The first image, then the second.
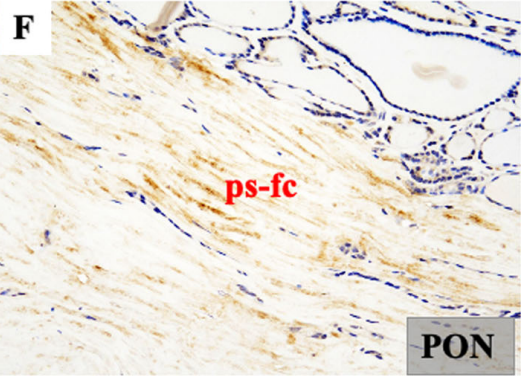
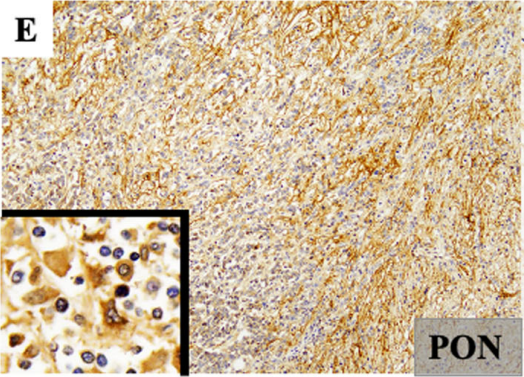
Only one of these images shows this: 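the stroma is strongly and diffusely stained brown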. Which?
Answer: the second image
